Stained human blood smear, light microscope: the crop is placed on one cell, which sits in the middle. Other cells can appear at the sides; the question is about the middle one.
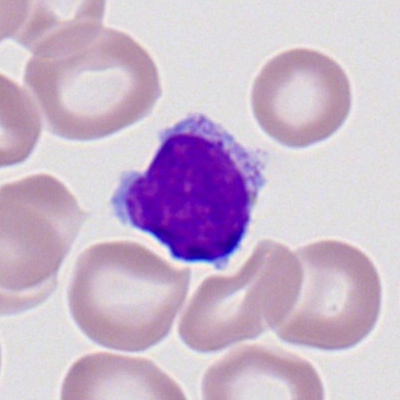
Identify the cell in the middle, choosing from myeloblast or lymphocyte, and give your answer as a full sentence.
The cell featured at the centre of this crop is a lymphocyte.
